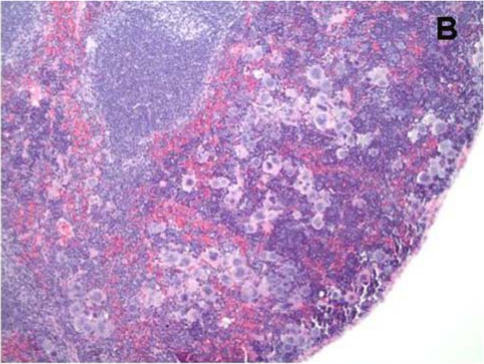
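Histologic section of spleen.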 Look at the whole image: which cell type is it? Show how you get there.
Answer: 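Many very large cells lie singly and in clusters in the red pulp. These cells have abundant pale lilac cytoplasm and large irregular nuclei. They are many times the size of the surrounding small lymphocytes. The answer: megakaryocyte.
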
